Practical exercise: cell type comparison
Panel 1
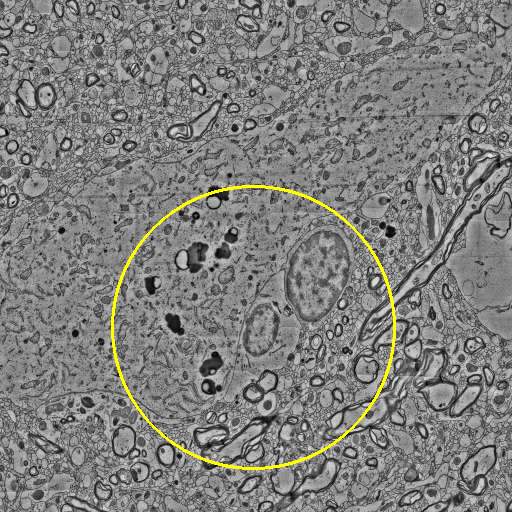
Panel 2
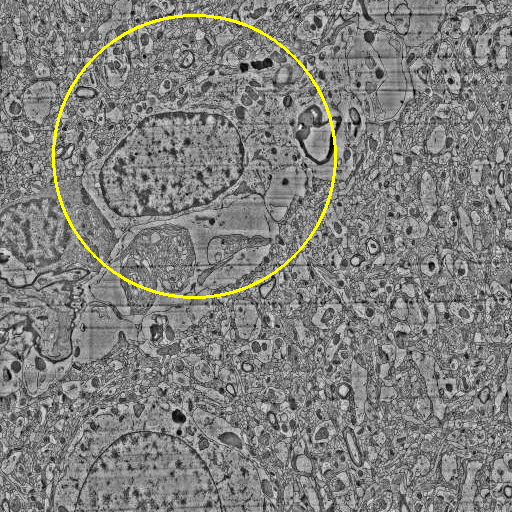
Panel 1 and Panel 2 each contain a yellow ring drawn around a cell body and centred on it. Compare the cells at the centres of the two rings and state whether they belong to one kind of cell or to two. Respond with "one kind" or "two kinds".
one kind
